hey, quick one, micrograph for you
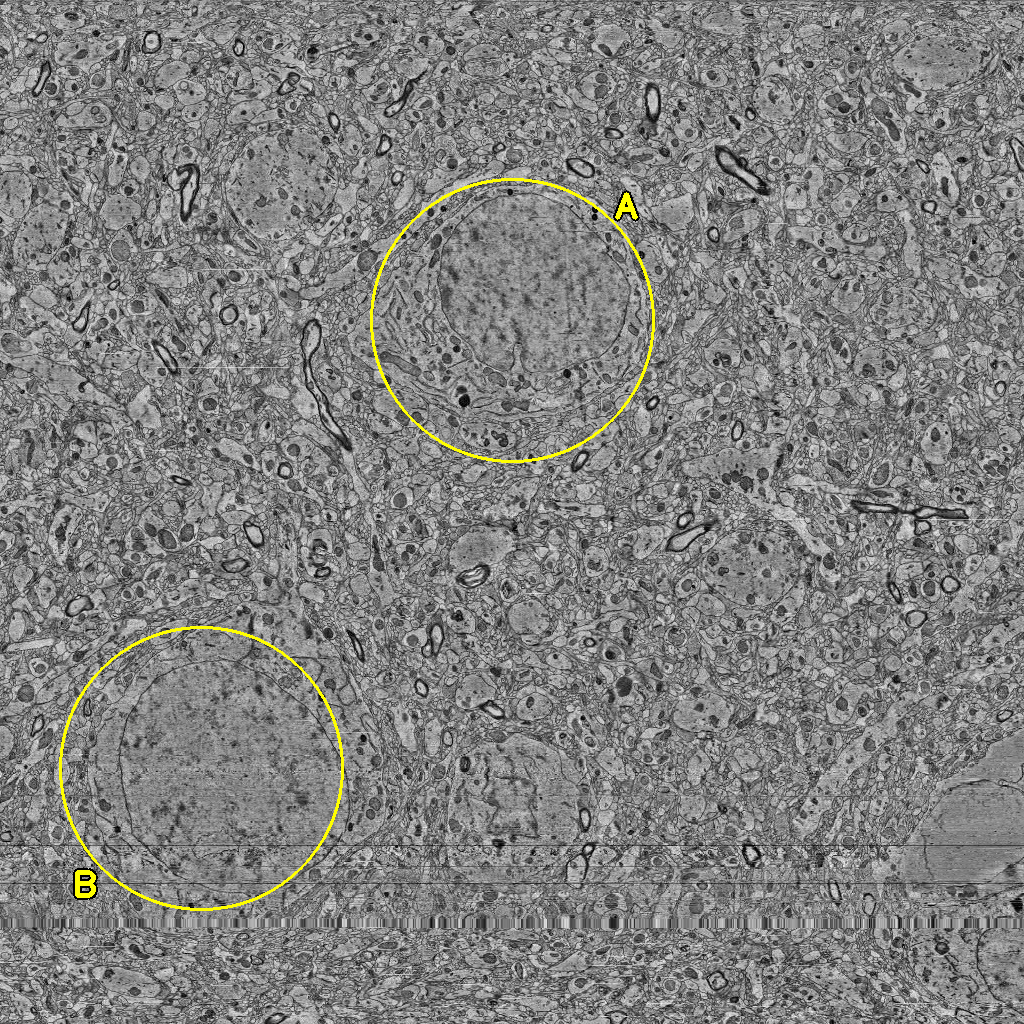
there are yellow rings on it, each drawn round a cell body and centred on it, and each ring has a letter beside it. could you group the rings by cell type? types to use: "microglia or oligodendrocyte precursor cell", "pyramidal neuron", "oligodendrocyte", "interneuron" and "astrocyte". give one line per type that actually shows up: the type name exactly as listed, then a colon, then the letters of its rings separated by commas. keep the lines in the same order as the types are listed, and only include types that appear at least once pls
pyramidal neuron: B
interneuron: A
